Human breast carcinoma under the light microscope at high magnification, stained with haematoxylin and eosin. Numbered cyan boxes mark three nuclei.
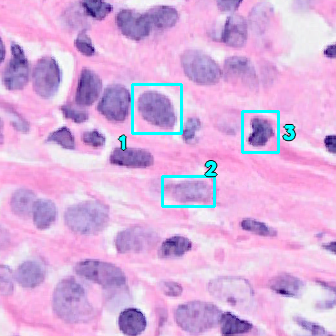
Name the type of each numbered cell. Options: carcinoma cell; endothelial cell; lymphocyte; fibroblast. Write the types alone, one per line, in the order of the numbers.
carcinoma cell
fibroblast
lymphocyte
